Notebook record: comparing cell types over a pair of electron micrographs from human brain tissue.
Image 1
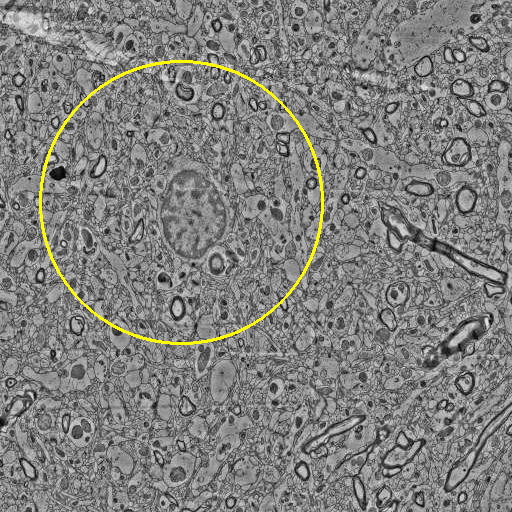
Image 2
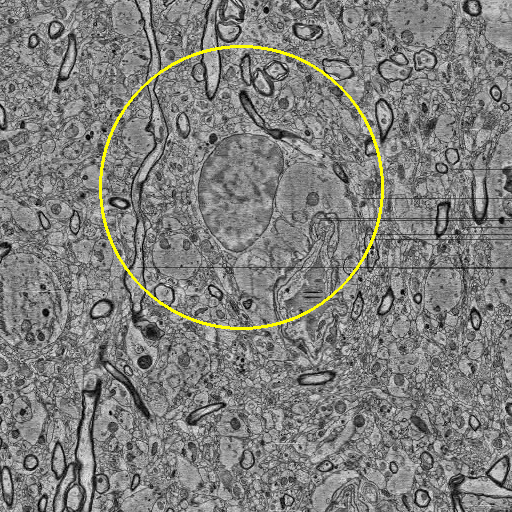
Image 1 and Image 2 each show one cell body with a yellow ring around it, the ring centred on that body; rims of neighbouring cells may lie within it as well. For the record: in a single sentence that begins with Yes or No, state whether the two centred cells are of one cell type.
No, two cell types are found among the centred cells of Image 1 and Image 2.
